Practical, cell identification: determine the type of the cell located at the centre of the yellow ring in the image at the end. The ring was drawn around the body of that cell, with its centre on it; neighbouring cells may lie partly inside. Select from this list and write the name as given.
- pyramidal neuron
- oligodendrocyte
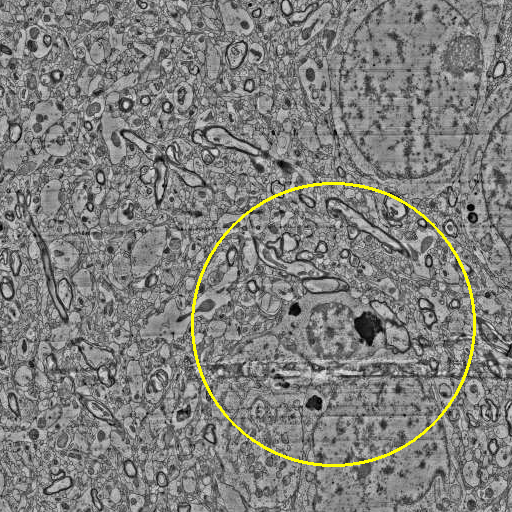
oligodendrocyte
